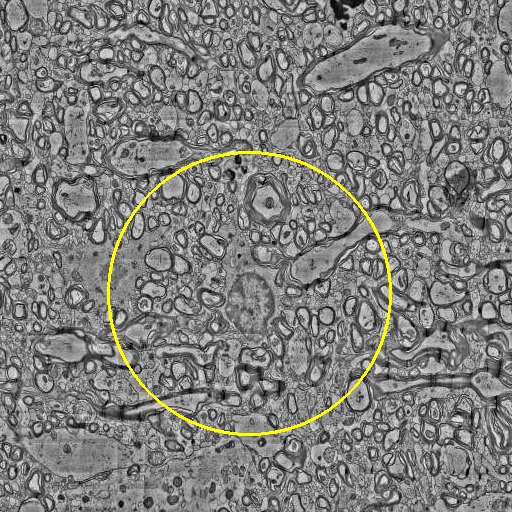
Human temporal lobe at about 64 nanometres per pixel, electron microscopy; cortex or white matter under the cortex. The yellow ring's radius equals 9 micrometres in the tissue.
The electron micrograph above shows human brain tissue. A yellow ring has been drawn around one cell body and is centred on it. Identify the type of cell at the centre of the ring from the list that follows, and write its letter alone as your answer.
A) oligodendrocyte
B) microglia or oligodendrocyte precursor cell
A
